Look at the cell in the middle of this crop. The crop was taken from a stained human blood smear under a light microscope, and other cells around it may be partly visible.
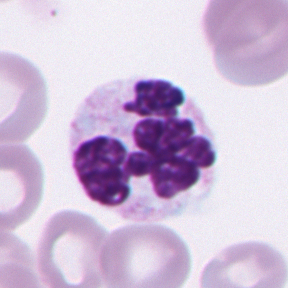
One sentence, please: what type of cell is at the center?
In this crop, the cell at the very middle is a segmented neutrophil.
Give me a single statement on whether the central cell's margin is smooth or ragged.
Edge check done: smooth outline, no projections present.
